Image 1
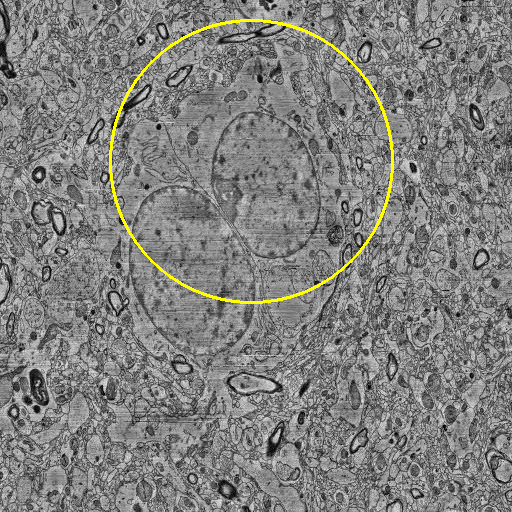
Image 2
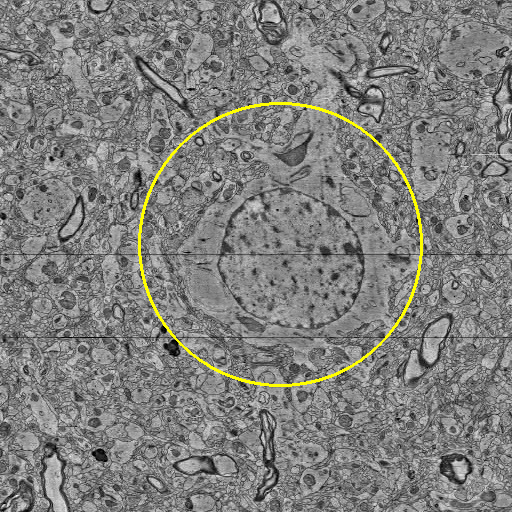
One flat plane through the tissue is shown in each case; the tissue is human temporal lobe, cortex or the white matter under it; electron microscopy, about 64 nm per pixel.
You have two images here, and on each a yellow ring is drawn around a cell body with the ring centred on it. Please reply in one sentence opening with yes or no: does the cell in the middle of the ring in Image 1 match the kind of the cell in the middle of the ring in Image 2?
Yes, the two images show cells of one kind at the centres of their rings.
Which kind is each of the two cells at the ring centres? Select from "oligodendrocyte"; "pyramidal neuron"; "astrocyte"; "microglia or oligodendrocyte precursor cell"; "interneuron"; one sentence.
In each picture the ringed cell is an astrocyte.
